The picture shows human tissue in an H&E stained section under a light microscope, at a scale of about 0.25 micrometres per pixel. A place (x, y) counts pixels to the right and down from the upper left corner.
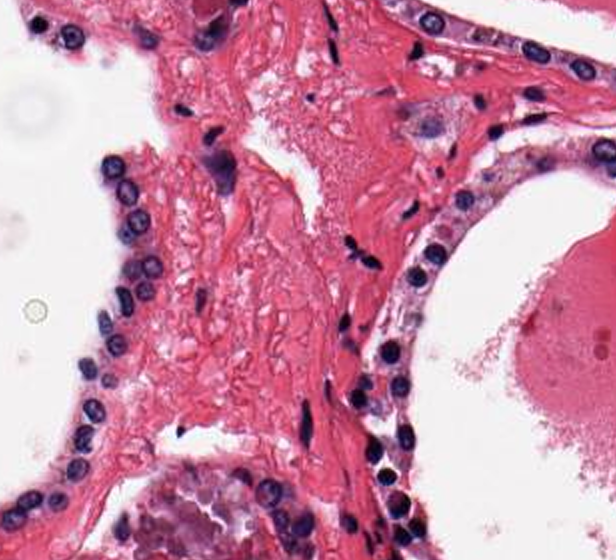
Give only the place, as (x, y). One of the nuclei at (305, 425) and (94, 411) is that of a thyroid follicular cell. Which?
(94, 411)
